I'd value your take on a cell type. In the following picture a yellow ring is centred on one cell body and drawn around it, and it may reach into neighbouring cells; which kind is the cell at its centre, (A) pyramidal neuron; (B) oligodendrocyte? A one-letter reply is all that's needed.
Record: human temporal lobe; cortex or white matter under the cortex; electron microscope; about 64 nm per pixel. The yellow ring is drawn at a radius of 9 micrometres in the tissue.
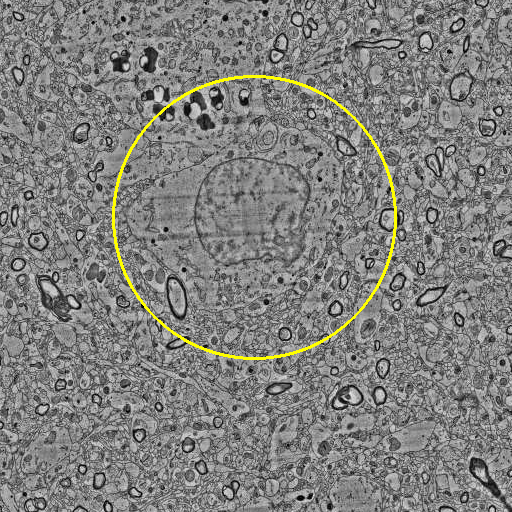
A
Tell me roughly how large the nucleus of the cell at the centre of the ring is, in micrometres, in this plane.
The nucleus is approximately 8 micrometers across in this plane.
